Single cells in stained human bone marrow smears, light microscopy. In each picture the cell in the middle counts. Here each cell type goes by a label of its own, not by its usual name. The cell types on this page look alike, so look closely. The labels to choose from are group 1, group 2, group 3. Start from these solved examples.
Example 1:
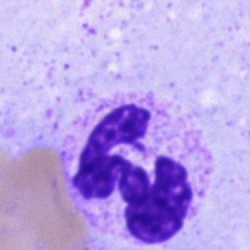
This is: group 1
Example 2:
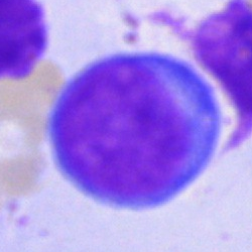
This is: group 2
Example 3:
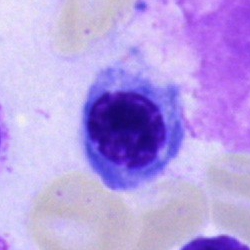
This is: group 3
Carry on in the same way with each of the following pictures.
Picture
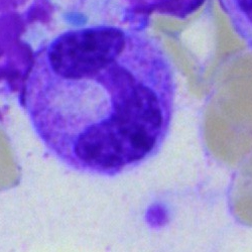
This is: group 1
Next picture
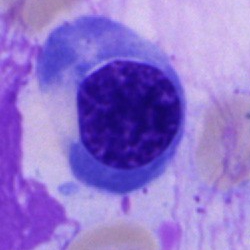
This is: group 3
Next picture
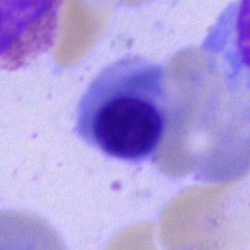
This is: group 3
